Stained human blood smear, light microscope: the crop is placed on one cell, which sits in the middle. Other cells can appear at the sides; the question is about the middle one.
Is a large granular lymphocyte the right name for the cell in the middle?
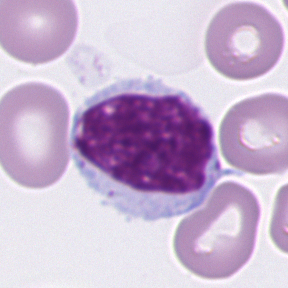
yes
